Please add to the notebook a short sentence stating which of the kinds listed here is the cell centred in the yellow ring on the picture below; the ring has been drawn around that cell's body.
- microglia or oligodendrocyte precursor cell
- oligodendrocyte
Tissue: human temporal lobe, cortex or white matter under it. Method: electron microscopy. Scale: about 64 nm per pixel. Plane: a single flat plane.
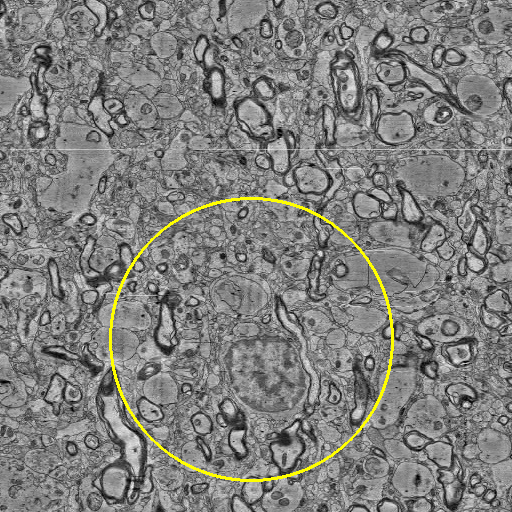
The cell centred in the yellow ring is an oligodendrocyte.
